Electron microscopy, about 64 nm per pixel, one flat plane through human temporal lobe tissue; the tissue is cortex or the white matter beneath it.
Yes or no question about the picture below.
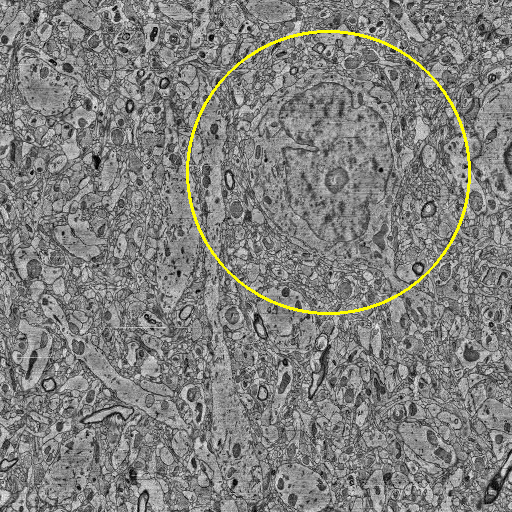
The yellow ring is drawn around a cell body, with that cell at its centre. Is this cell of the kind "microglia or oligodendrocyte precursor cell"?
no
